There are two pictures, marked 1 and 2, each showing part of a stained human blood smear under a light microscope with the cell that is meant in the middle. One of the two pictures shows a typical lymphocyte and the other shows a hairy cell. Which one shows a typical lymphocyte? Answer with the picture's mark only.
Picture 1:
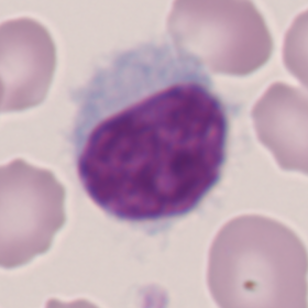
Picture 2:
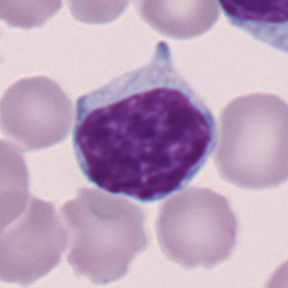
2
